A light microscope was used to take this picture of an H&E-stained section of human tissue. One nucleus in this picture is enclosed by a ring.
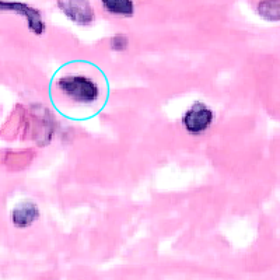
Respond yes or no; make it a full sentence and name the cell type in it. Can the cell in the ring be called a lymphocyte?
Yes, the cell in the ring is, by its type, a lymphocyte.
